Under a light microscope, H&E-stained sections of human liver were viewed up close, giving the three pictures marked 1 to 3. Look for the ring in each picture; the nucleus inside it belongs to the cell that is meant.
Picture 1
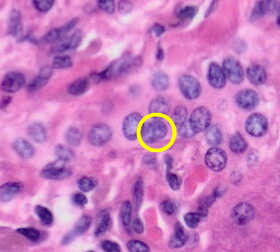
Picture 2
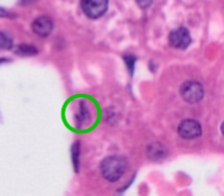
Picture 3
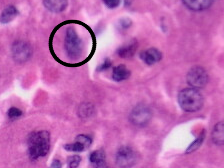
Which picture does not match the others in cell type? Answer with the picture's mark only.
1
